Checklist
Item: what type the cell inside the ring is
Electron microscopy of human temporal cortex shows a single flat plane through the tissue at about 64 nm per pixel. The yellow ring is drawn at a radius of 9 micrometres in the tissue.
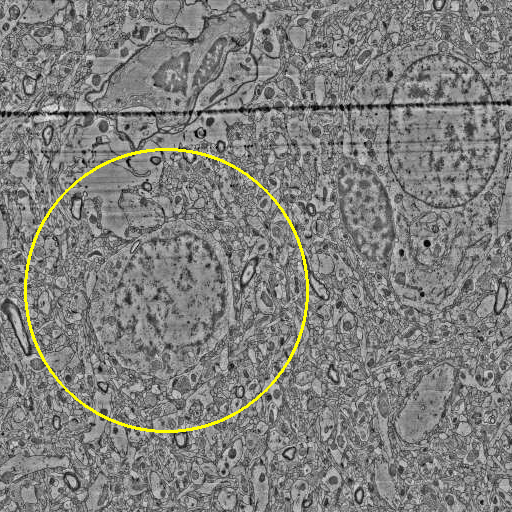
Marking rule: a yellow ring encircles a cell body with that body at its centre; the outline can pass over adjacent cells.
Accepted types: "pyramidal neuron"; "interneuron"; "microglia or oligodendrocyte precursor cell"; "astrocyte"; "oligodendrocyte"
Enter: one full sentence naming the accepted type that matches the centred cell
The entry is that an interneuron lies at the centre of the yellow ring.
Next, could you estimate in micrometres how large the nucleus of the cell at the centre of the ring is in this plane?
About 8 by 7 micrometers for the nucleus, in this plane.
